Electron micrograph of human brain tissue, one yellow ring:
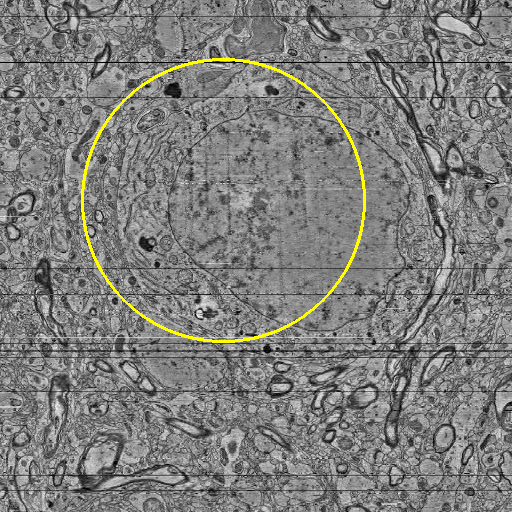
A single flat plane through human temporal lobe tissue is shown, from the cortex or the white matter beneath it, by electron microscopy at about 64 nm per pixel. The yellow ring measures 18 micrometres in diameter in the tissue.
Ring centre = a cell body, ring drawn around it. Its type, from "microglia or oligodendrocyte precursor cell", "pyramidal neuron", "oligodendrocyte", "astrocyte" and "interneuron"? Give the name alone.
pyramidal neuron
